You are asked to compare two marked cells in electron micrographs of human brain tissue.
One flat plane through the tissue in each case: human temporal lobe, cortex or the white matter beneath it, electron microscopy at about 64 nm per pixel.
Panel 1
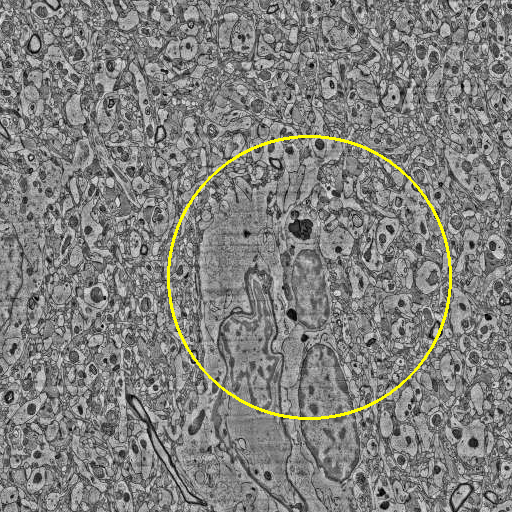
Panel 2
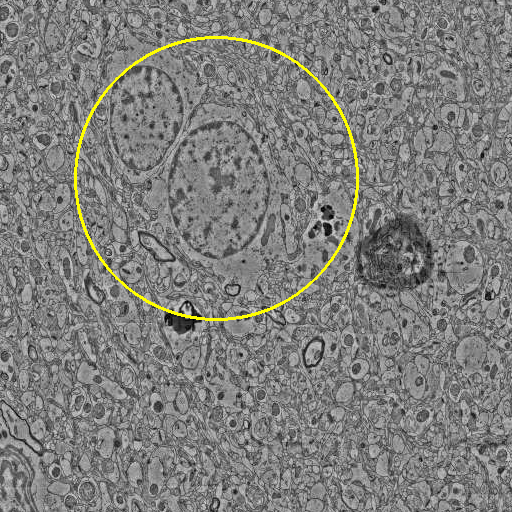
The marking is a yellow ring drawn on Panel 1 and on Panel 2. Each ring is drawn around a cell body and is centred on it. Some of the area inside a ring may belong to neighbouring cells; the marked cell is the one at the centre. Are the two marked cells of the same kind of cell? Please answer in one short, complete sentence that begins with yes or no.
No, the two marked cells are of two kinds.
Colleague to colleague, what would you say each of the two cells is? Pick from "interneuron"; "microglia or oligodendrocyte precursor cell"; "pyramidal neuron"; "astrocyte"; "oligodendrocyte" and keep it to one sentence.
The cell in the first picture is an oligodendrocyte; the second picture's cell is an astrocyte.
